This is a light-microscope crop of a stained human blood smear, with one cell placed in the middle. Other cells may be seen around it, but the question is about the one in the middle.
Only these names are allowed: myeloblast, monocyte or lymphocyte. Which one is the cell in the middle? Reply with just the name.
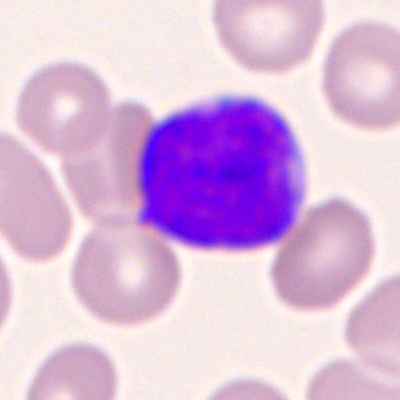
myeloblast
